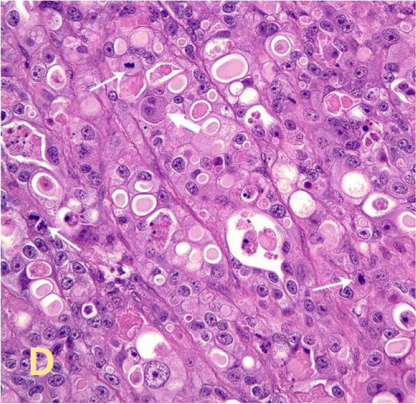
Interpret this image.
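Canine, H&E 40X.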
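Sheets of closely packed, pink-staining epithelial tumour cells have large round nuclei with prominent nucleoli, and the nuclei vary markedly in size and shape. Many cells contain clear round cytoplasmic vacuoles, some filled with pale pink material.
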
